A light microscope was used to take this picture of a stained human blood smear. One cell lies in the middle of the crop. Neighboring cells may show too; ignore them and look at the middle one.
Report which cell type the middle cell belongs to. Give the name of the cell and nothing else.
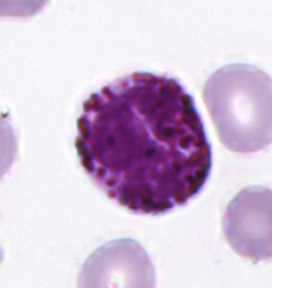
basophil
